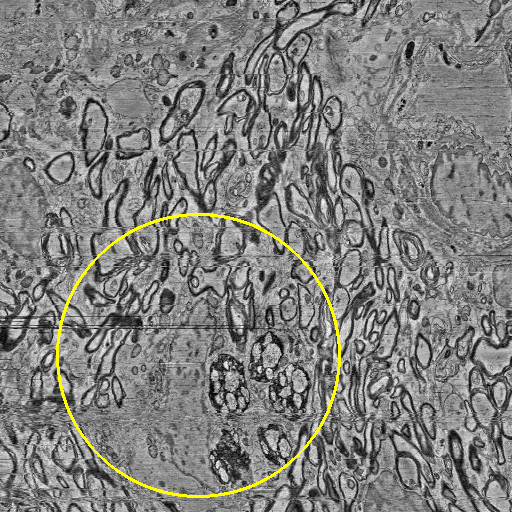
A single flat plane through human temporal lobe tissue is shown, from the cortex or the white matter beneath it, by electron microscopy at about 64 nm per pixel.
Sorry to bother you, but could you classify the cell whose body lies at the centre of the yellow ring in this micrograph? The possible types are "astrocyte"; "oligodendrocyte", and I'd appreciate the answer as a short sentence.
The ringed cell body is that of an astrocyte.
